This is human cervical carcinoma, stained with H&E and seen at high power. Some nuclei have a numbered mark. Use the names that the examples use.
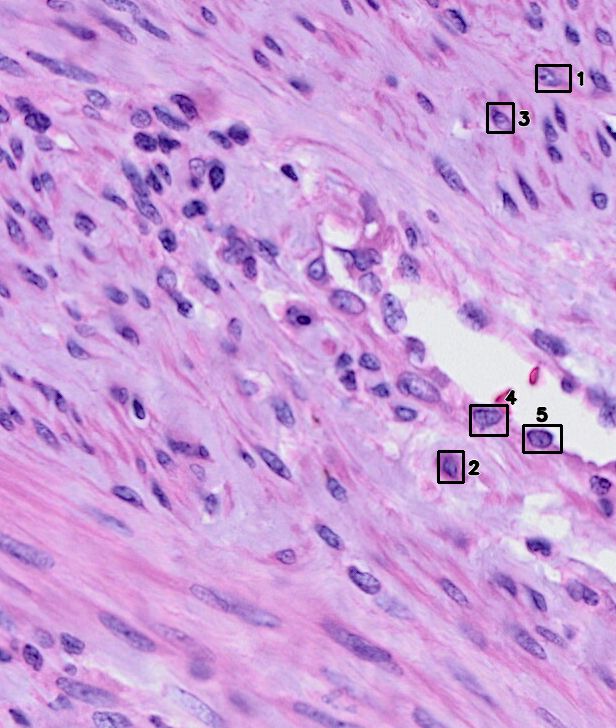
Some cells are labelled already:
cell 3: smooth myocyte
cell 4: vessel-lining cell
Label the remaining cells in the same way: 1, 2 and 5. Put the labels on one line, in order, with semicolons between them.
smooth myocyte; smooth myocyte; vessel-lining cell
